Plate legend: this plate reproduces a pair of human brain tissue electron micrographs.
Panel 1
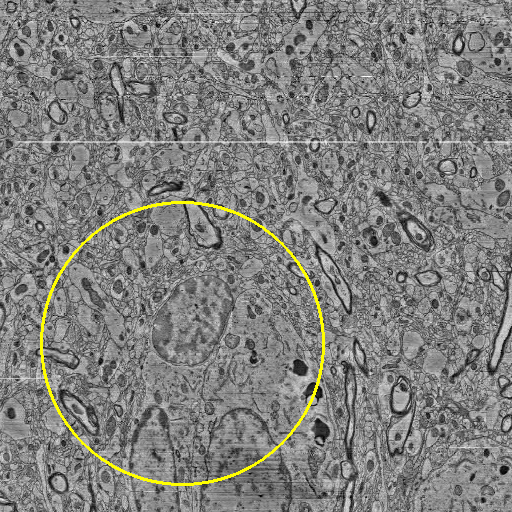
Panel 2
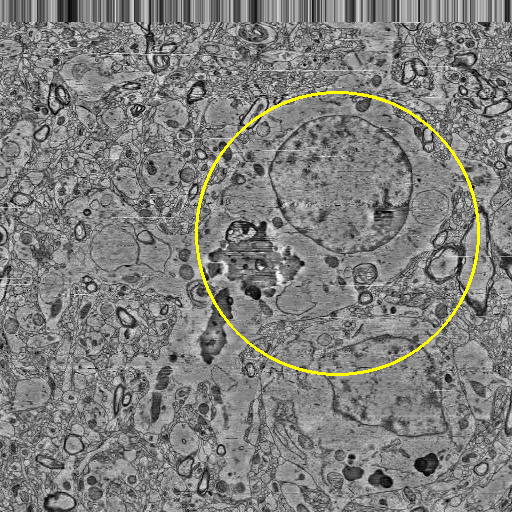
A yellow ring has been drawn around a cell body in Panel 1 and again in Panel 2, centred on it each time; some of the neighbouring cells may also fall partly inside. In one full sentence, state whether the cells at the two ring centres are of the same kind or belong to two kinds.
The ring-centred cells of Panel 1 and Panel 2 belong to two kinds.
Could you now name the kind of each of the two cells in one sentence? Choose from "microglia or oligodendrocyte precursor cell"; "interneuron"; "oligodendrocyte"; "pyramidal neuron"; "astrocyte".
The first ring encloses an oligodendrocyte; the second ring encloses an astrocyte.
